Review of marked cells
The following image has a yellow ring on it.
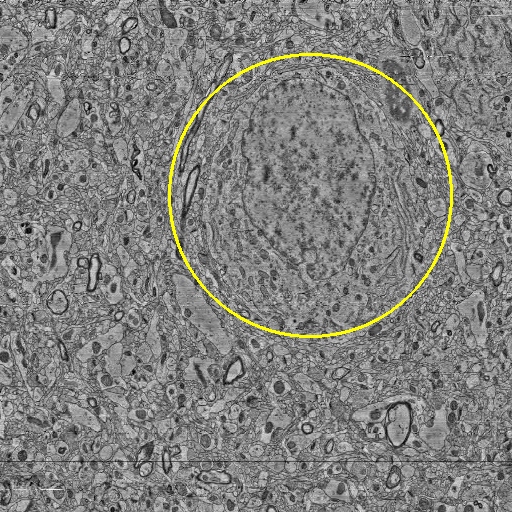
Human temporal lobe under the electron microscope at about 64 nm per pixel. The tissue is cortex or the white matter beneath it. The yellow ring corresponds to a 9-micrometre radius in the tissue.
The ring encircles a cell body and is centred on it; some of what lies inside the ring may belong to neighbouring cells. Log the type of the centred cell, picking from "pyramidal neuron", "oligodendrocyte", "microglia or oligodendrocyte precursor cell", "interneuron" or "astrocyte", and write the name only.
interneuron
